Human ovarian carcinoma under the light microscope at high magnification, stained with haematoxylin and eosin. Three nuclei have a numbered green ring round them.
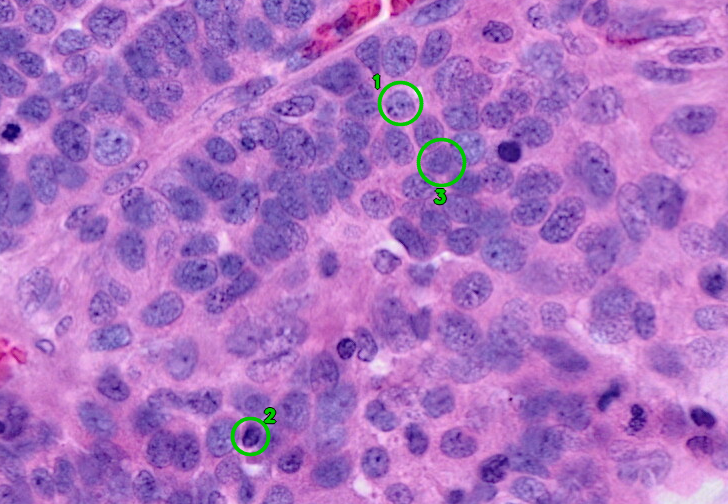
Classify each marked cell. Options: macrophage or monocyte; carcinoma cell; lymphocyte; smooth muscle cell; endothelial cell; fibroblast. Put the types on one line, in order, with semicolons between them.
macrophage or monocyte; lymphocyte; carcinoma cell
